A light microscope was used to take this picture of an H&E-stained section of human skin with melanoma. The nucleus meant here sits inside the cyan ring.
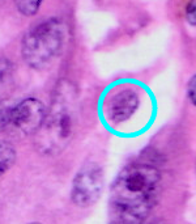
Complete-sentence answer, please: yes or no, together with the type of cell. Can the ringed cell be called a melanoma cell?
Yes, calling the ringed cell a melanoma cell is correct.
